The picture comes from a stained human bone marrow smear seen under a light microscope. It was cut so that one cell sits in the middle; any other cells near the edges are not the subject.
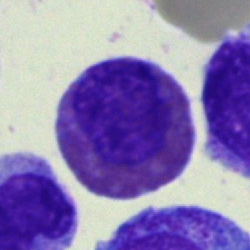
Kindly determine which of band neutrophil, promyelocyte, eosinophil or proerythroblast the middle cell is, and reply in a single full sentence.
Standing at the centre of this crop is an eosinophil.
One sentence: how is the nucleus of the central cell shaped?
Its nucleus is compact and single, with a round, oval or kidney-shaped form.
